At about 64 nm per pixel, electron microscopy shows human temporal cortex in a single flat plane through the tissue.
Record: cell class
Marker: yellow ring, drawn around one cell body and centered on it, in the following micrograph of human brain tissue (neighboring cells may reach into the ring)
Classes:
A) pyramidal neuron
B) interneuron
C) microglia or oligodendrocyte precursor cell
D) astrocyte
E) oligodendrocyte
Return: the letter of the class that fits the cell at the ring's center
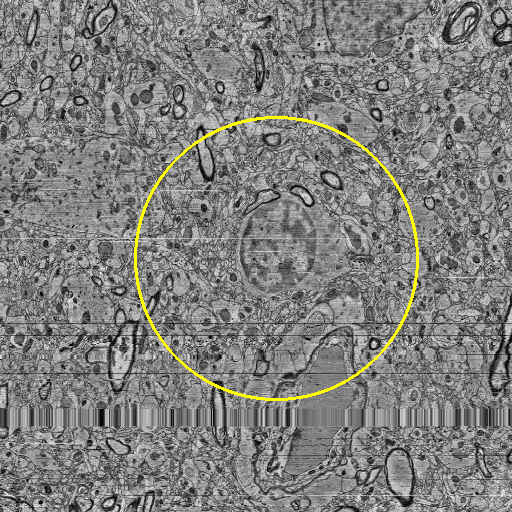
E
